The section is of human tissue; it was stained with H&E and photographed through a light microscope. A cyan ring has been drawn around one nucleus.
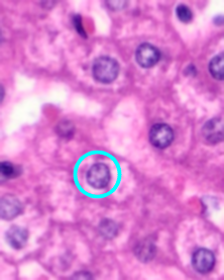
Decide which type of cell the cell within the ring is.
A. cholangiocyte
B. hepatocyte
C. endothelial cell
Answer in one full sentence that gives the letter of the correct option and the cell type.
Option B is the one that fits, as the cell within the ring is a hepatocyte.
